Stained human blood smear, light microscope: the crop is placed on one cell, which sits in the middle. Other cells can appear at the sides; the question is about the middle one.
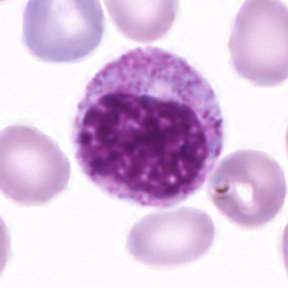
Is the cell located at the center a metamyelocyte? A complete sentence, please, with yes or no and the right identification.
No, the cell in the middle should be called a myelocyte instead of a metamyelocyte.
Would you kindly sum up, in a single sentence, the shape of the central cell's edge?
You can see a smooth boundary, with no projections sticking out.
